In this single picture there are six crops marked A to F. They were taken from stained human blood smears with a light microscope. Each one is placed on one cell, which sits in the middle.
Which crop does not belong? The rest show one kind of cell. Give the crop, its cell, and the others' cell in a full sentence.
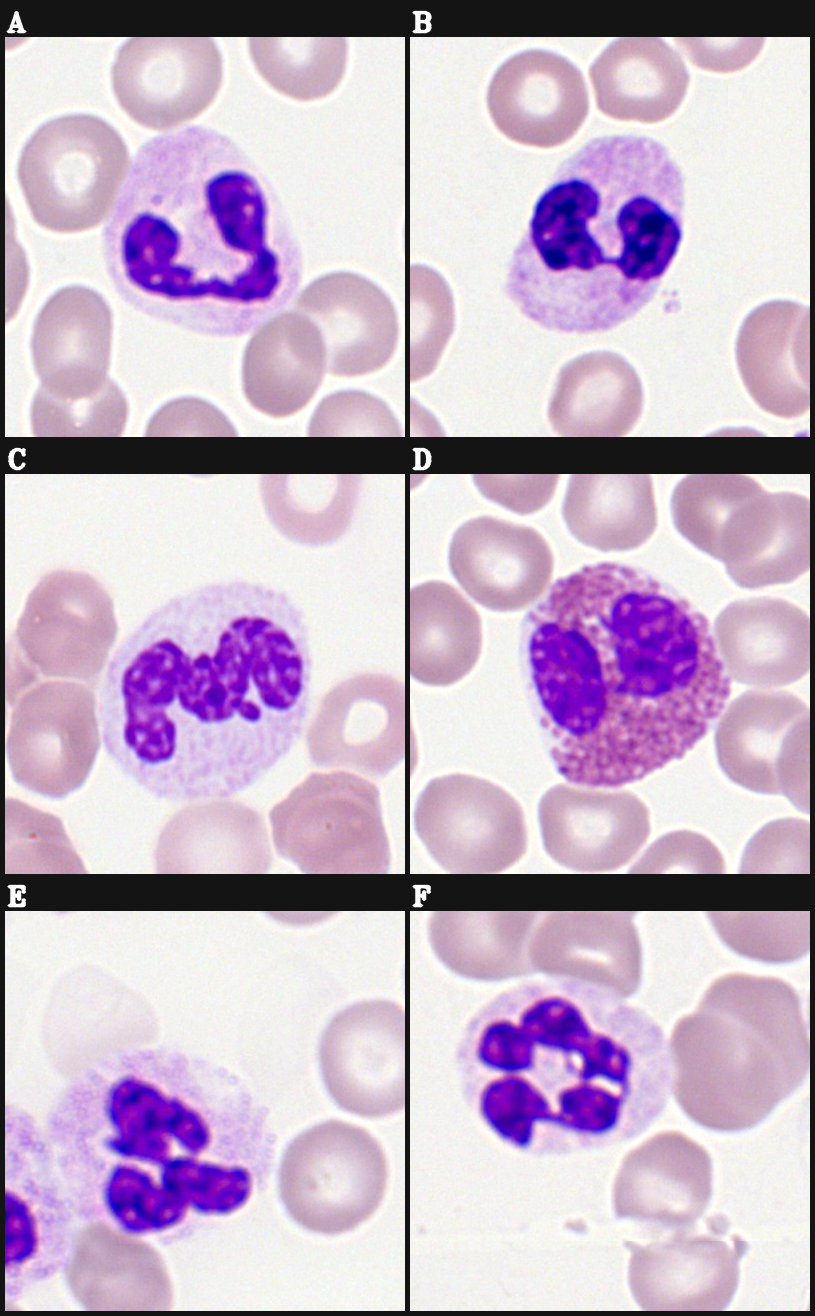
The exception in this group is crop D, an eosinophil, and the others are all segmented neutrophils.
